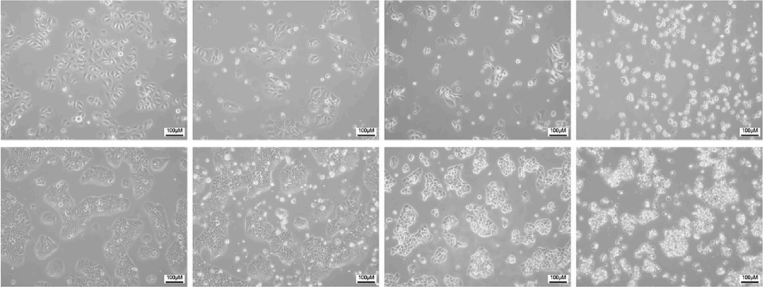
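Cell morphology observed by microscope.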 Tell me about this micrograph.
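In the upper row, the leftmost field shows flattened, polygonal cells spread on the dish; towards the right, flattened cells become fewer and small, round, bright cells take over. In the lower row, the cells grow as compact clustered islands, and towards the right the clusters are made up of small, rounded cells.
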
